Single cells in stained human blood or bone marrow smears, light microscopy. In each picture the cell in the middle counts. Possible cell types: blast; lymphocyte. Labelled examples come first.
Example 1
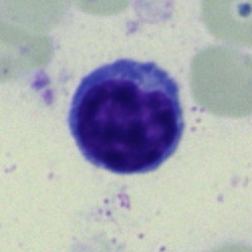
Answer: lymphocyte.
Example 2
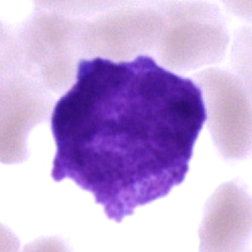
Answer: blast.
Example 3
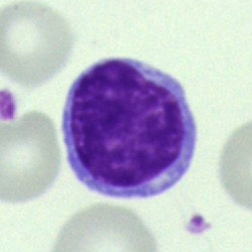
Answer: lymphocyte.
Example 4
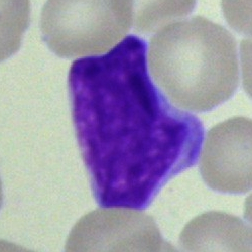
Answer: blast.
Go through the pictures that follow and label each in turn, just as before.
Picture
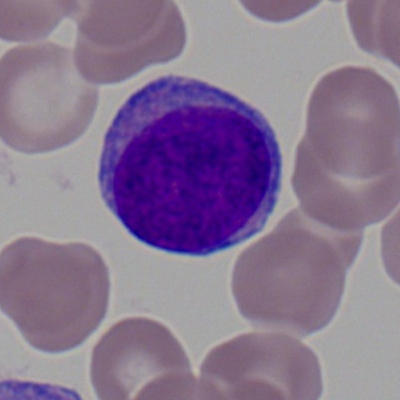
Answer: blast.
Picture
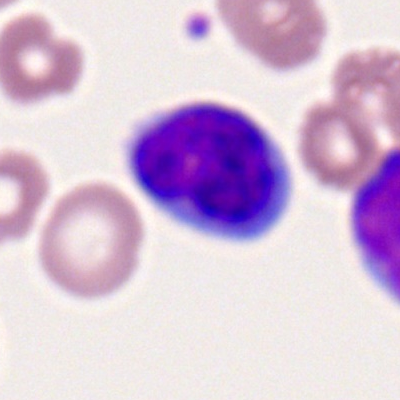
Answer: lymphocyte.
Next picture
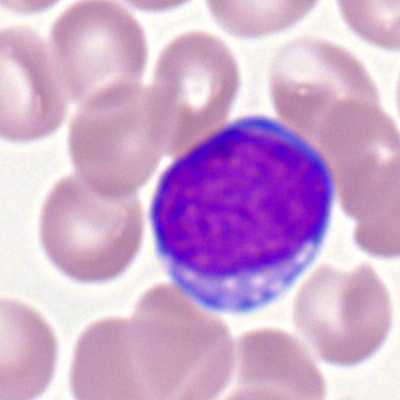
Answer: blast.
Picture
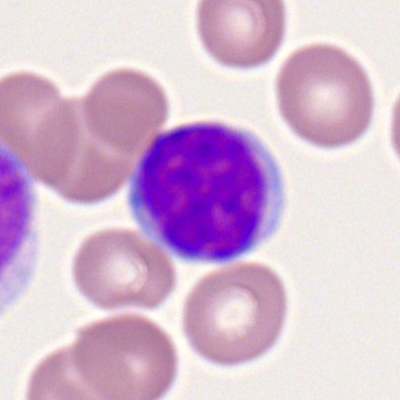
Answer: lymphocyte.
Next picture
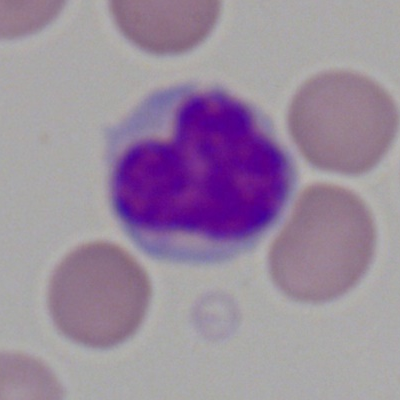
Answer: lymphocyte.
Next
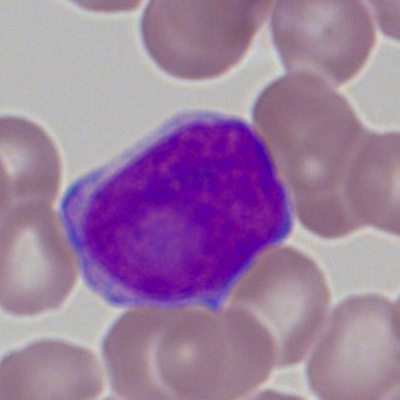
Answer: blast.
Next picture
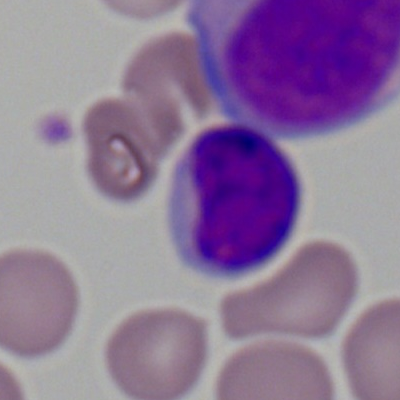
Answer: lymphocyte.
